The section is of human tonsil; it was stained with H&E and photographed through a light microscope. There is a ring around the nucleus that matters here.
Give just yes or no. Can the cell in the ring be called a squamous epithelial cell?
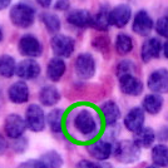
no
